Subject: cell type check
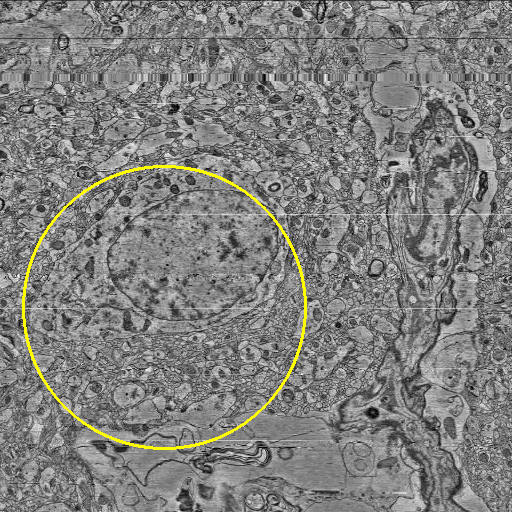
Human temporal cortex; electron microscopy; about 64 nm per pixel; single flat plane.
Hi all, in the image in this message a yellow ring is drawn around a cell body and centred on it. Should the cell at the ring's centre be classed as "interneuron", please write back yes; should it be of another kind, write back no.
no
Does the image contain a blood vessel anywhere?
Yes.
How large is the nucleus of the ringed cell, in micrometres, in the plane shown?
In this plane the nucleus measures roughly 11 by 8 micrometers.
